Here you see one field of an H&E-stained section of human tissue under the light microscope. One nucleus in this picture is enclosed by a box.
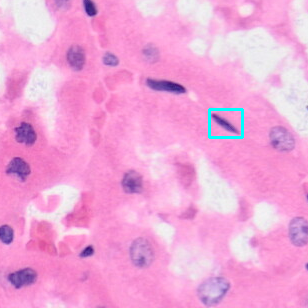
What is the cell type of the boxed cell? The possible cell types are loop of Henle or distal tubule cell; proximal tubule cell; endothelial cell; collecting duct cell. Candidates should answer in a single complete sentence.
Labelled by cell type, the boxed cell is an endothelial cell.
